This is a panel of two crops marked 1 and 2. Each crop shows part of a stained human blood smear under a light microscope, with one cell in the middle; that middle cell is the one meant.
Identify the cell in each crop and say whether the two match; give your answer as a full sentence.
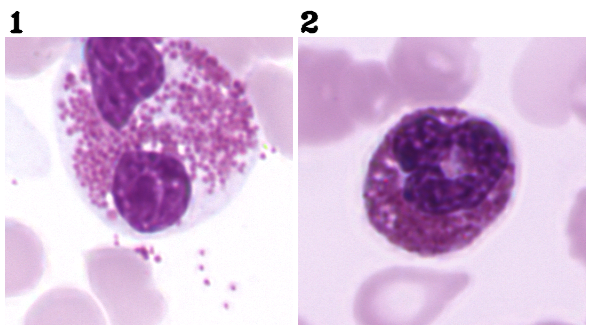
Yes, the cells found in the middle of both crops are eosinophils.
